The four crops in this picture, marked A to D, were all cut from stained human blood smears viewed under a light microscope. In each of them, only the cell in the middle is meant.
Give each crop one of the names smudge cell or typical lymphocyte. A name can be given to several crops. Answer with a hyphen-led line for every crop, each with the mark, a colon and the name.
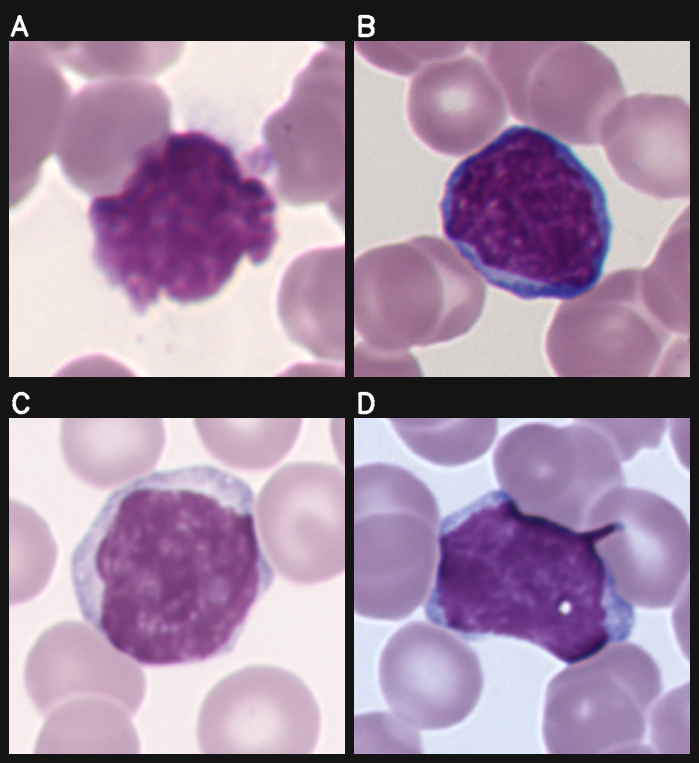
- A: smudge cell
- B: typical lymphocyte
- C: typical lymphocyte
- D: typical lymphocyte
